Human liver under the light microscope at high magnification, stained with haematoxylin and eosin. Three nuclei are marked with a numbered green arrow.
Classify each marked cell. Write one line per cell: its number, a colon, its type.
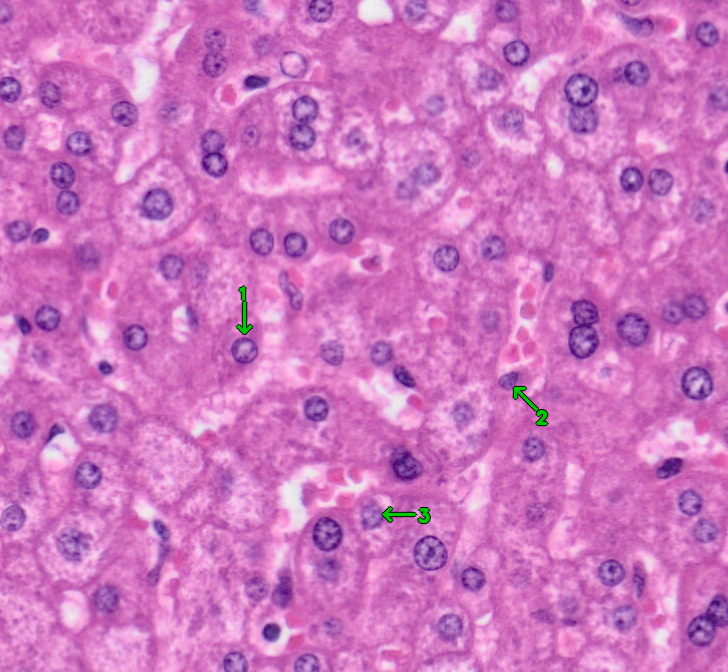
1: hepatocyte
2: Kupffer cell
3: hepatocyte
